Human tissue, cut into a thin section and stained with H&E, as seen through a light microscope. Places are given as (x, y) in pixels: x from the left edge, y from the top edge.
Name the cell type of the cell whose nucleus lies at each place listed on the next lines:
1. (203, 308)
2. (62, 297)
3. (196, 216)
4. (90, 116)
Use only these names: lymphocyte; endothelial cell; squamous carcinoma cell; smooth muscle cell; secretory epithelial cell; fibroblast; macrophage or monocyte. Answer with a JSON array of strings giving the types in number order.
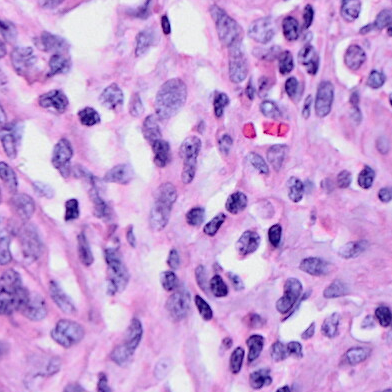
["lymphocyte", "endothelial cell", "lymphocyte", "lymphocyte"]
